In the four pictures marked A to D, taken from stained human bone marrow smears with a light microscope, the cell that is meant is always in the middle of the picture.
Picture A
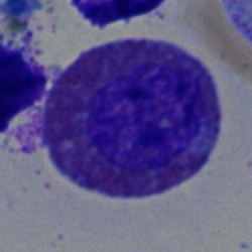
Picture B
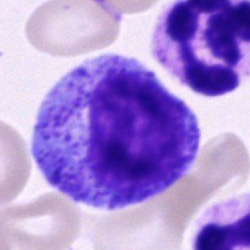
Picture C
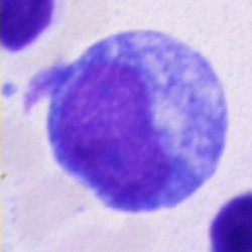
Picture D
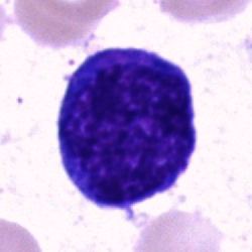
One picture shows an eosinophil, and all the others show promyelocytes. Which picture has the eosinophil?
A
